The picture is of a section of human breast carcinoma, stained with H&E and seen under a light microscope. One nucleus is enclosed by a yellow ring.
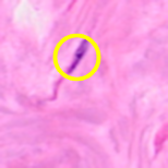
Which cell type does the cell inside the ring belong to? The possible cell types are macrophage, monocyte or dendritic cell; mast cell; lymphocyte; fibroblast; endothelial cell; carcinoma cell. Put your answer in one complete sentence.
For the purposes of cell typing, the cell inside the ring is categorized as a fibroblast.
